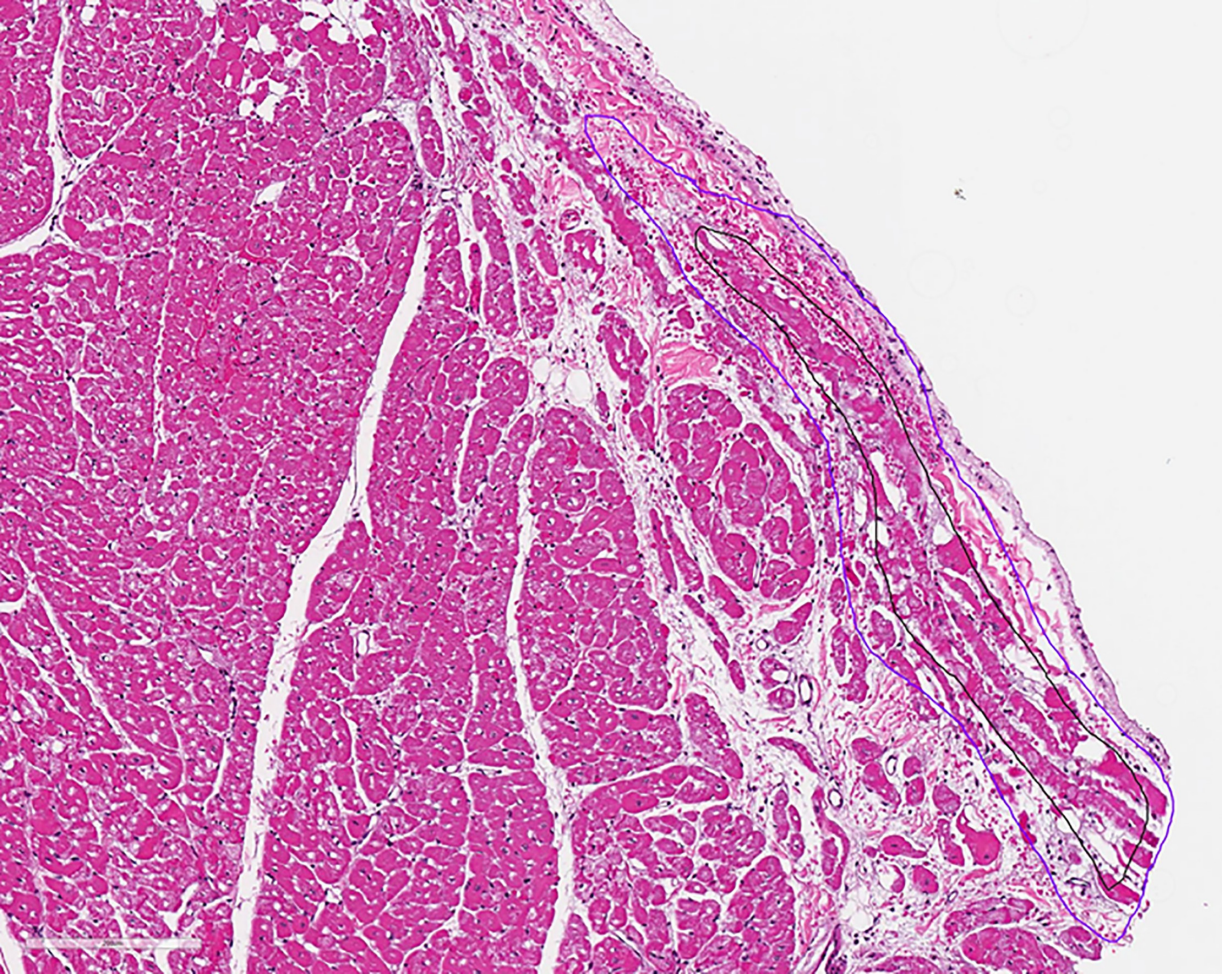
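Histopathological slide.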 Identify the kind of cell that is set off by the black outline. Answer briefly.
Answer: Damaged Purkinje fibers.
